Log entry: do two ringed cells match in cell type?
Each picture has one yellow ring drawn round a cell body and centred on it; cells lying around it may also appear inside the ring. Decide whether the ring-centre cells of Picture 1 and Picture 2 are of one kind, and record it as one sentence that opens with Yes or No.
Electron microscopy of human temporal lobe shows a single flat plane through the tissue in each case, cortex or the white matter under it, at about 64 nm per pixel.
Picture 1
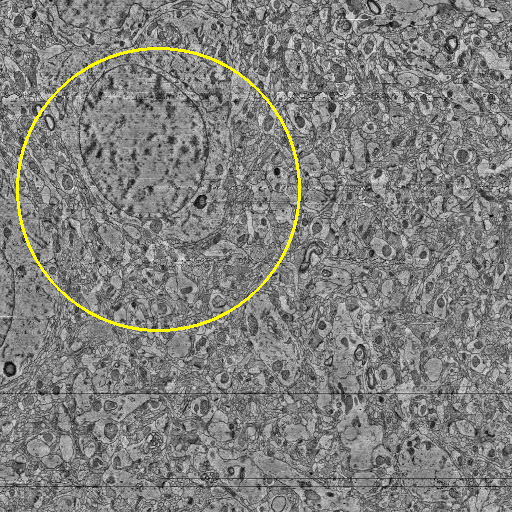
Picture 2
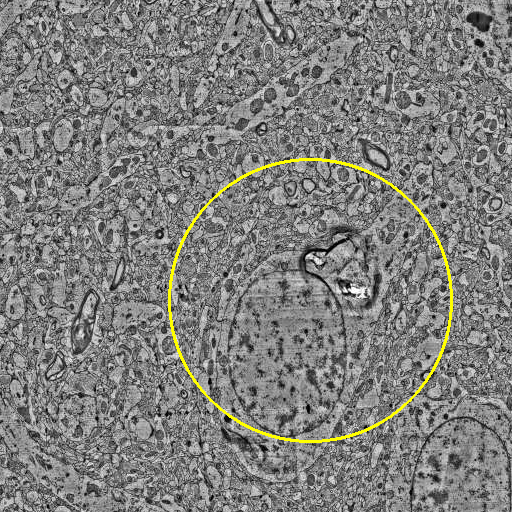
Yes, the cells at the ring centres of the two pictures belong to one kind.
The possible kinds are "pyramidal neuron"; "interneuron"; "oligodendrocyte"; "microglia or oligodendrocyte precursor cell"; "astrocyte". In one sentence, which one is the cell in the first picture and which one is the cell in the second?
Each of the two rings is centred on a pyramidal neuron.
